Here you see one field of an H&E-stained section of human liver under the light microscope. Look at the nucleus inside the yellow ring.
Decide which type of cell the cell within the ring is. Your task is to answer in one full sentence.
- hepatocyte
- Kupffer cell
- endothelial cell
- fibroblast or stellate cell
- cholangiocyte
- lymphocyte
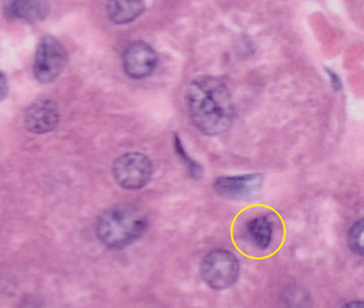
The identity of the cell within the ring is that of a fibroblast or stellate cell.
